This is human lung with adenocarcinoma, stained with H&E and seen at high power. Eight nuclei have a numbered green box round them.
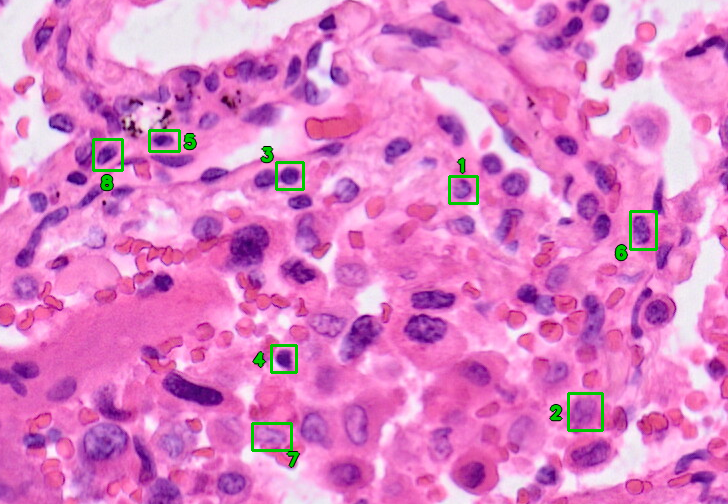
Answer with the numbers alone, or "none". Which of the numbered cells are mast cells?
1, 6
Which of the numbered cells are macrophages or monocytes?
2, 7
